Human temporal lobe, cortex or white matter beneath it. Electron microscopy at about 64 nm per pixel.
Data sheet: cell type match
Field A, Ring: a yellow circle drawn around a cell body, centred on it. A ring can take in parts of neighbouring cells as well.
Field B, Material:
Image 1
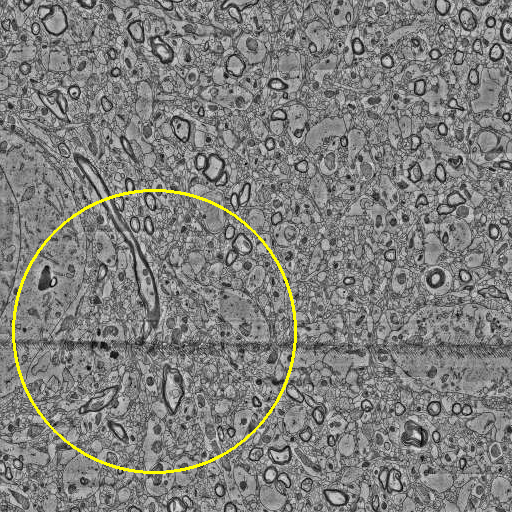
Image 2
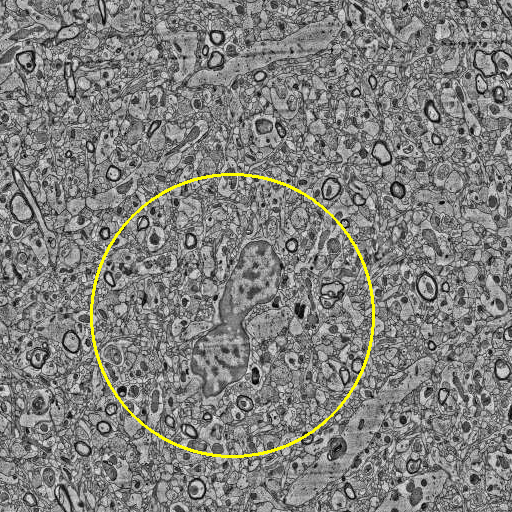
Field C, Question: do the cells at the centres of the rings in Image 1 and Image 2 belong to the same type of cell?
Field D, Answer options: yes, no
no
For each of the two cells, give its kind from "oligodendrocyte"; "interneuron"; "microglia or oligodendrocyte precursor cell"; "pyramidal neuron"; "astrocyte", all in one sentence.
The first picture has an oligodendrocyte in its ring, the second has a microglial cell or oligodendrocyte precursor cell.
